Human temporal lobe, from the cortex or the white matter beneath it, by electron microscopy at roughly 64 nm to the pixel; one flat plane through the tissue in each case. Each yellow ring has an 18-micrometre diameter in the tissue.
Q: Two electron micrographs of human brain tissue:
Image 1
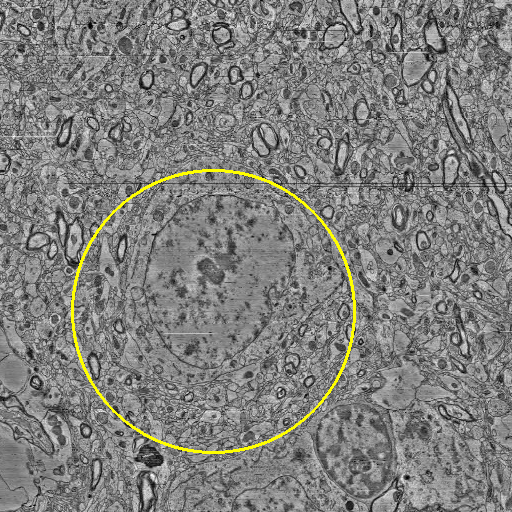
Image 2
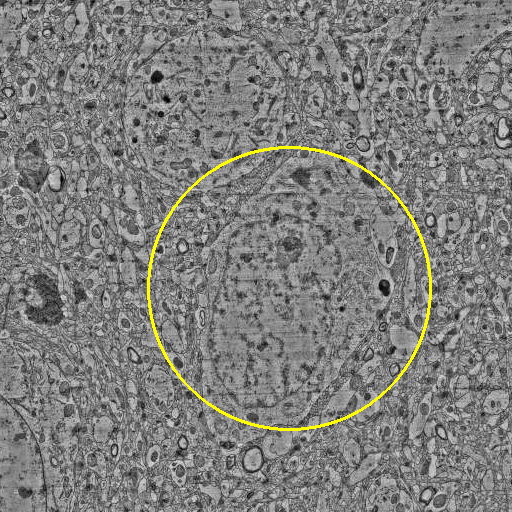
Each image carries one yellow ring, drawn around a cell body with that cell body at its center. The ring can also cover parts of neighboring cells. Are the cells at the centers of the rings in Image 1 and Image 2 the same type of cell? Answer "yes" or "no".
no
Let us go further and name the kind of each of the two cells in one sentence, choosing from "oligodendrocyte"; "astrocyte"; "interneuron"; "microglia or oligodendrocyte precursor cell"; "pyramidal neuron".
The ring of the first picture is on a pyramidal neuron, the ring of the second on an interneuron.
